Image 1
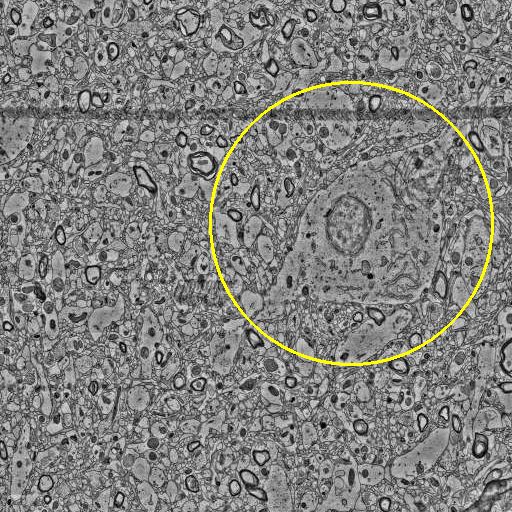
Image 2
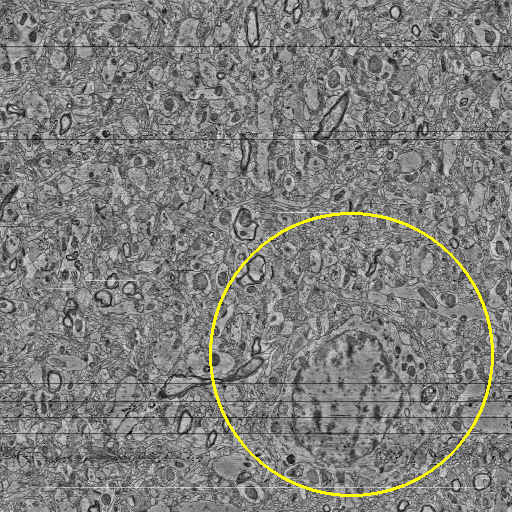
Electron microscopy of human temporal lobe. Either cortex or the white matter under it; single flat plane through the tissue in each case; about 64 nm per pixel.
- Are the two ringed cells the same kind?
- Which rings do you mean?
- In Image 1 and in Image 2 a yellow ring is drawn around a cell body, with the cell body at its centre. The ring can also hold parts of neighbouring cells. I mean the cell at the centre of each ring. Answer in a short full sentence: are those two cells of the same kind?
Yes, both cells are of the same kind.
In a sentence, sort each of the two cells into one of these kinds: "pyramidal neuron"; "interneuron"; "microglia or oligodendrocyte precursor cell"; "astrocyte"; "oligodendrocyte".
Each of the two rings is centred on an interneuron.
